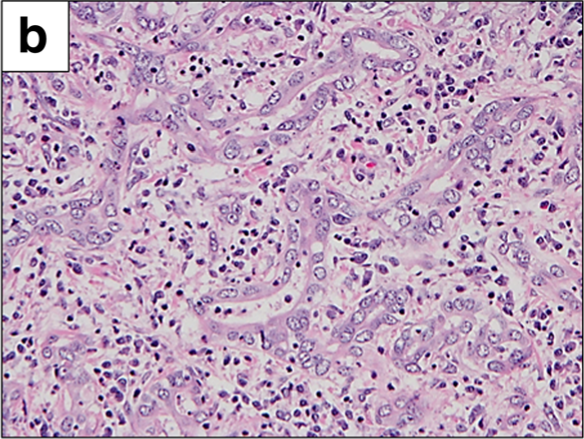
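Adenocarcinoma with tumor cells forming irregular small glands within an inflammatory stroma. The tumor cells have enlarged, oval nuclei with pale chromatin and visible nucleoli and moderate pink cytoplasm. The glands are narrow, angulated and irregular in outline. The stroma between them is pale pink and contains many small, round, darkly staining inflammatory cells.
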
